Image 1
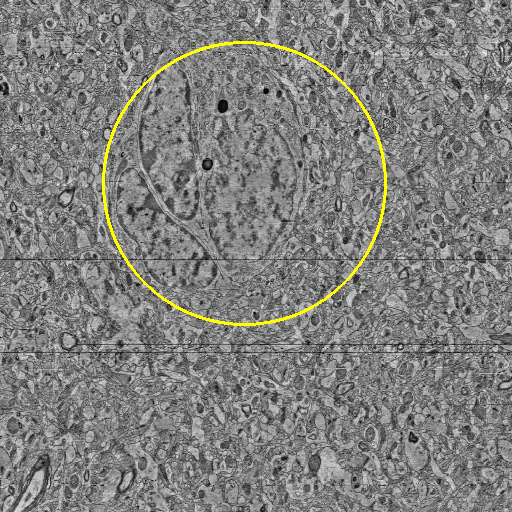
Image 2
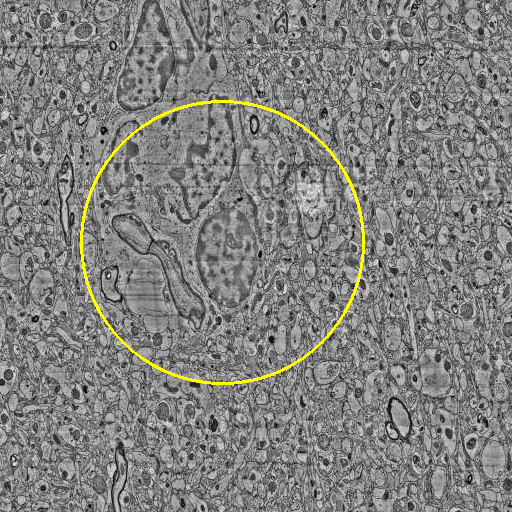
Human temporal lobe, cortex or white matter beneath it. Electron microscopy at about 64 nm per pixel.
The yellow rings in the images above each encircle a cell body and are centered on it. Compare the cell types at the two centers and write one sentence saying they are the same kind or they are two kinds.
Taken together, the two cells at the ring centers are two kinds.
